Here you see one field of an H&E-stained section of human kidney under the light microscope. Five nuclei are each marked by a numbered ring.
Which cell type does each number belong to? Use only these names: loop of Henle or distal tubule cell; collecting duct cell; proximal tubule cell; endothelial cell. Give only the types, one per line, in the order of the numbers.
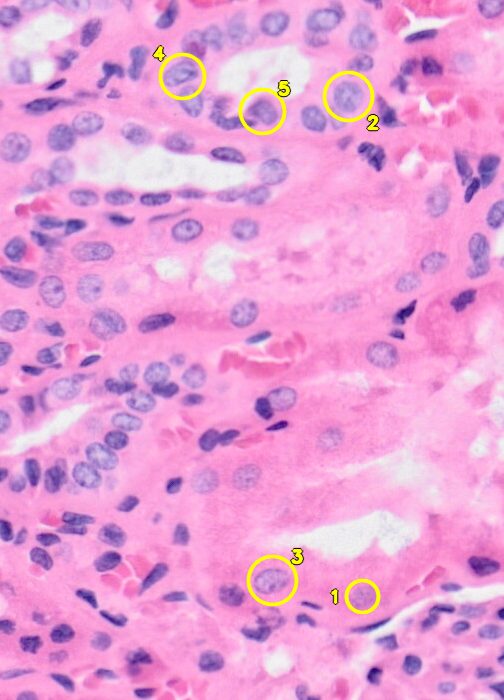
proximal tubule cell
collecting duct cell
proximal tubule cell
collecting duct cell
collecting duct cell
